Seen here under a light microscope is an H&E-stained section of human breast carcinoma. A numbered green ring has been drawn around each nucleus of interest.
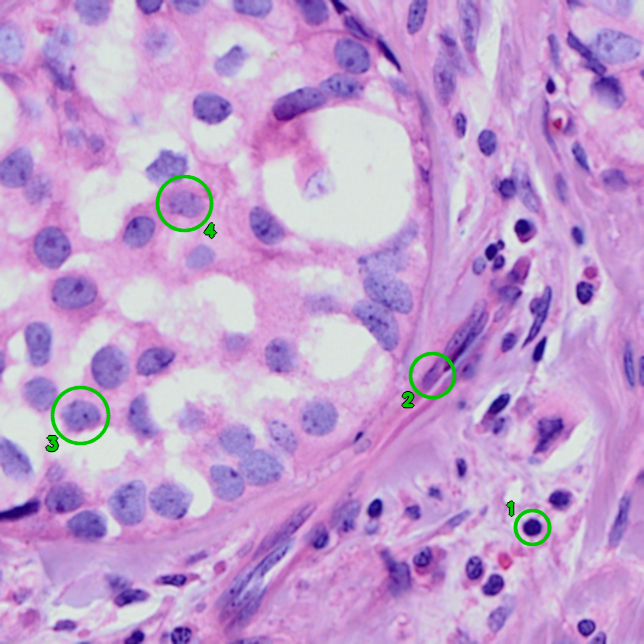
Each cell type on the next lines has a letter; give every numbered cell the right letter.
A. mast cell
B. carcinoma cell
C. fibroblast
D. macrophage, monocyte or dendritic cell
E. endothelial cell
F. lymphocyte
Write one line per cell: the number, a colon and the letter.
1: F
2: E
3: B
4: B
